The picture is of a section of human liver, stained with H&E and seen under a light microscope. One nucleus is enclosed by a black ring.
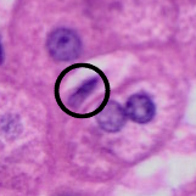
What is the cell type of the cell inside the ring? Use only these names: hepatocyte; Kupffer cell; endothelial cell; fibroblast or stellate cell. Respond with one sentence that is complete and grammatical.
In the tissue under study, the cell inside the ring is a Kupffer cell.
